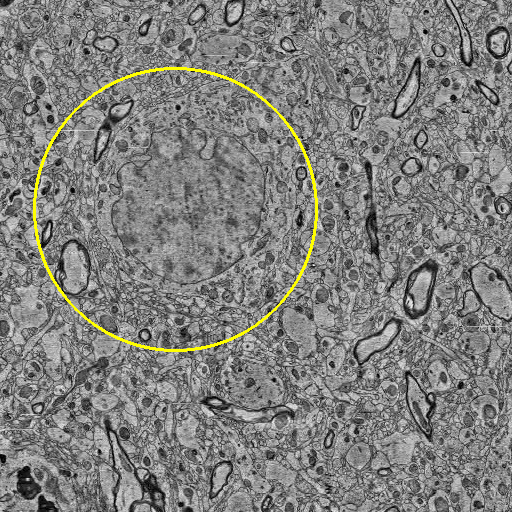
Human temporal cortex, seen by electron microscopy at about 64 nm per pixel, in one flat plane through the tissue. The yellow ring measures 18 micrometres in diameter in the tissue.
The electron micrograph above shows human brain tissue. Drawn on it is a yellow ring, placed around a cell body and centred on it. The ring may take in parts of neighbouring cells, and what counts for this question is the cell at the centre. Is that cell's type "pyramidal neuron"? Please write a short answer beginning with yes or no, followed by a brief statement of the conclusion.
No, its type is another one.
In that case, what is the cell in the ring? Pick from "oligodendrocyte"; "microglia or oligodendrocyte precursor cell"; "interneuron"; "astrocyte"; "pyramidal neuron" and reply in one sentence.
The cell at the middle of the ring is an interneuron.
